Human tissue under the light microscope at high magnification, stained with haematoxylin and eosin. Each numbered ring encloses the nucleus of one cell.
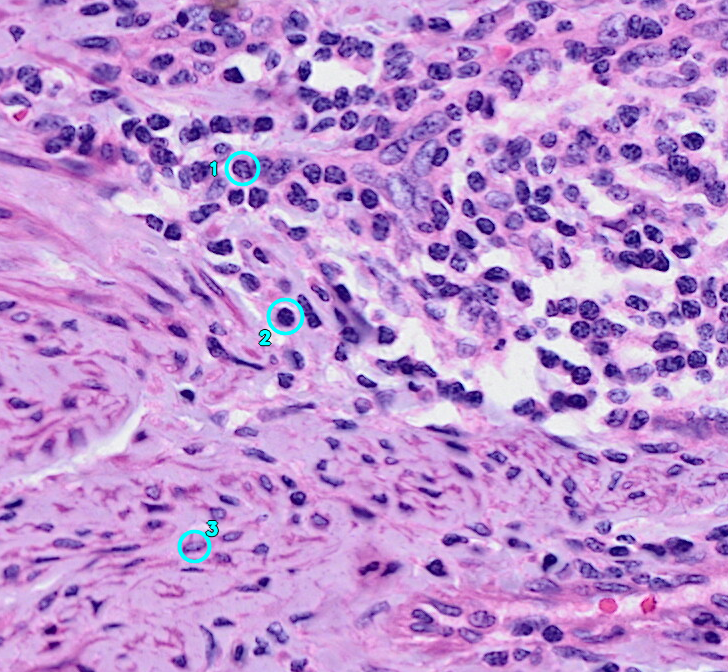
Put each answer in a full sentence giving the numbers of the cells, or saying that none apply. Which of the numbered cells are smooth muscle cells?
The cell labelled 3 is a smooth muscle cell, while the remaining numbered cells are not.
